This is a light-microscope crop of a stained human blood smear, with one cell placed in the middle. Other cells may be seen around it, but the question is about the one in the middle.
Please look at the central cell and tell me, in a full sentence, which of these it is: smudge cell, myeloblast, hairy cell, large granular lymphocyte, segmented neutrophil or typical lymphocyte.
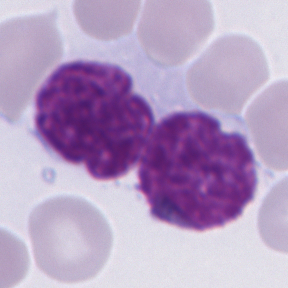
In the center of this field lies a myeloblast.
